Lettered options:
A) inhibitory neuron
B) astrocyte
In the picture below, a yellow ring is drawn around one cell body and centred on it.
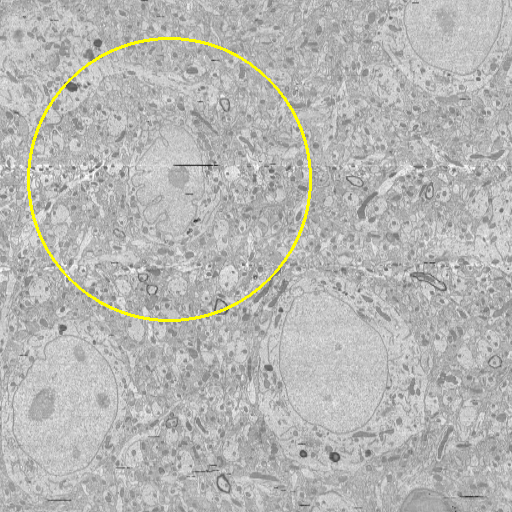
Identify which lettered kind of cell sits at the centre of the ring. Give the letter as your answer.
A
